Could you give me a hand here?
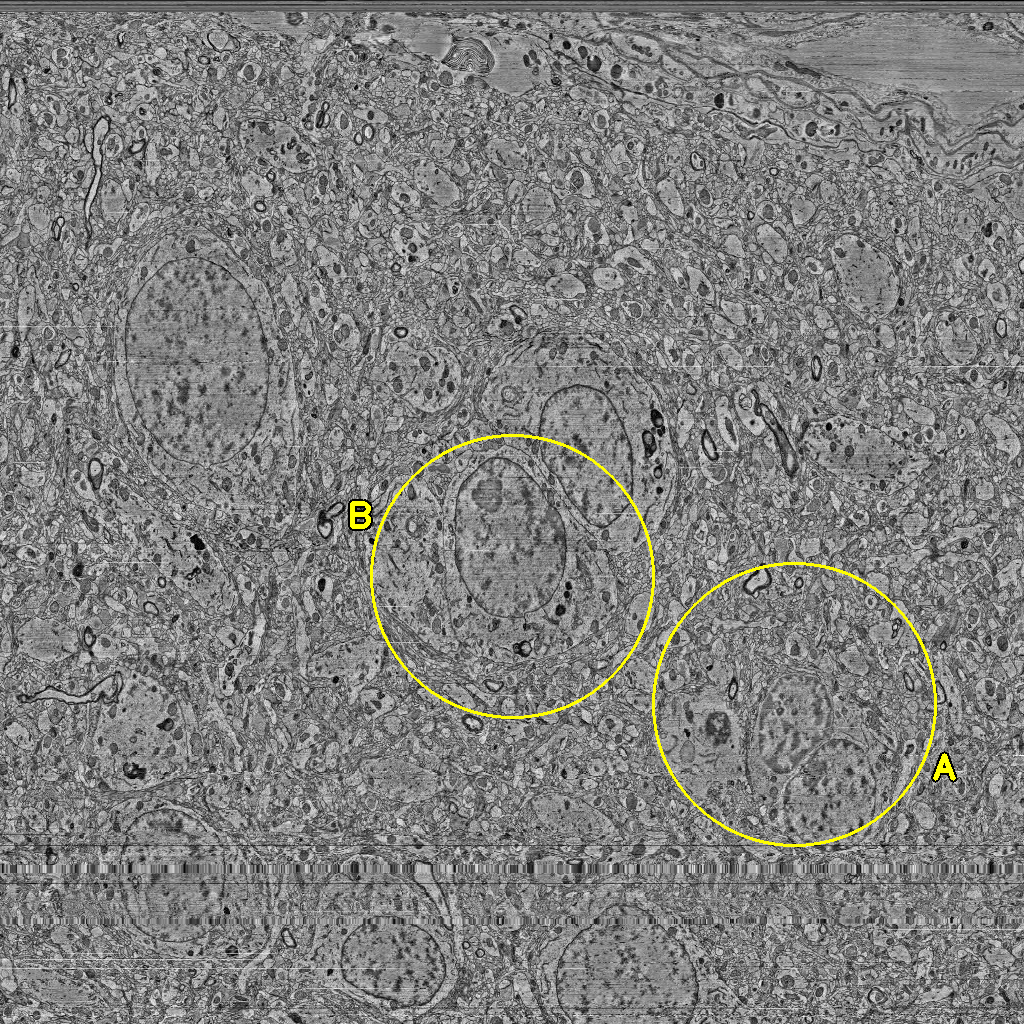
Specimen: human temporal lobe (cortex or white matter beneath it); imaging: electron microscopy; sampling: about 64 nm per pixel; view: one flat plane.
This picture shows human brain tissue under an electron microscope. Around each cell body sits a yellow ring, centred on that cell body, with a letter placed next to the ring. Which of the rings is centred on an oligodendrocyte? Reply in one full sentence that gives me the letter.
The cell asked for sits at the centre of ring A in the picture.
